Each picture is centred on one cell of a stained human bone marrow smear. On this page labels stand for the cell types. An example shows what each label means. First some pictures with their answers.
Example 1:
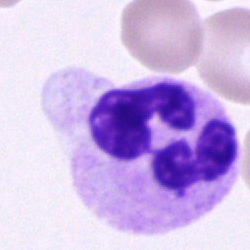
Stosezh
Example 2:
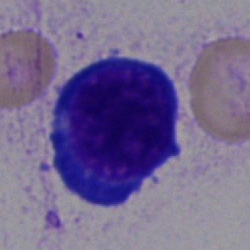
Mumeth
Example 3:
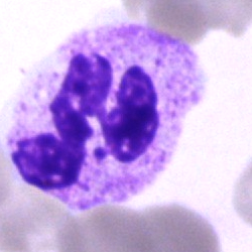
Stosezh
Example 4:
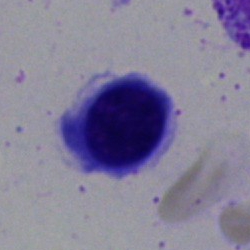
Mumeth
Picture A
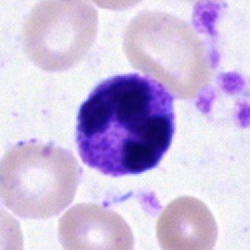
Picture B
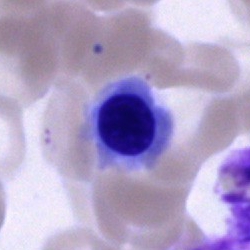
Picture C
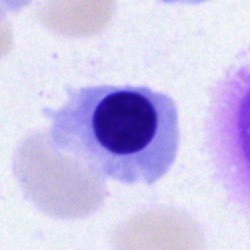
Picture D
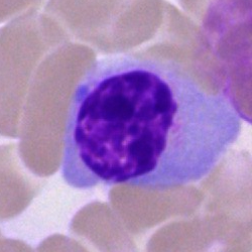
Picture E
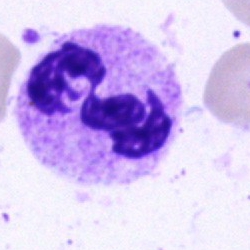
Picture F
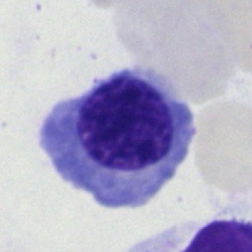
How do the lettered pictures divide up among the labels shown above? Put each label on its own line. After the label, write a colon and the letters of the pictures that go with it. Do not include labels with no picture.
Stosezh: A, E
Mumeth: B, C, D, F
